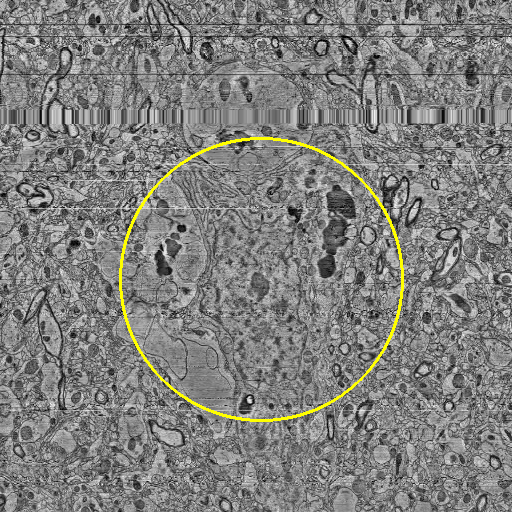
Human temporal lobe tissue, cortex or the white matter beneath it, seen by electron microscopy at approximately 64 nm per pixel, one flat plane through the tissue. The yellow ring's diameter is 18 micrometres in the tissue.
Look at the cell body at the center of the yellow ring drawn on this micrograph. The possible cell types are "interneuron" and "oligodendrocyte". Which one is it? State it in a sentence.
The cell in the middle of the ring is an interneuron.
